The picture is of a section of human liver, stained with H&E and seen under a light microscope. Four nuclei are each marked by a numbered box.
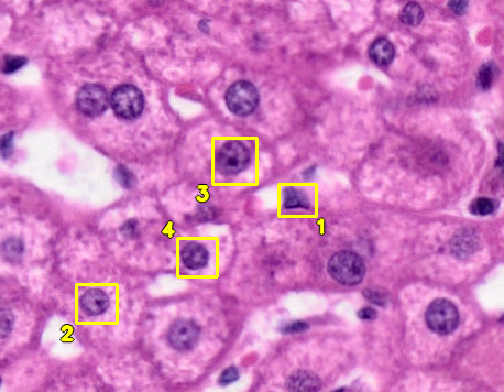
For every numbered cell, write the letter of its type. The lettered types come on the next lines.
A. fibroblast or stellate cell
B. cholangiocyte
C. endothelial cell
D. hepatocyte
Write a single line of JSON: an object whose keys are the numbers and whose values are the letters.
{"1": "C", "2": "D", "3": "D", "4": "D"}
